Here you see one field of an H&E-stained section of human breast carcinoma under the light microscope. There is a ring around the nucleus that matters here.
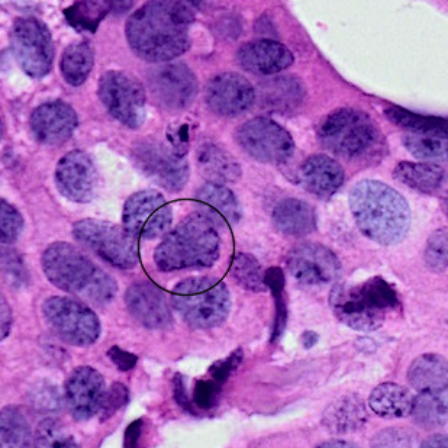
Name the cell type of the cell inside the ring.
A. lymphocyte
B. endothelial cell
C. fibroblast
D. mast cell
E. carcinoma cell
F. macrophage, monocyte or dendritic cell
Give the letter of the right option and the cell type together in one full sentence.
On this slide, the cell inside the ring is a carcinoma cell, so option E is right.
